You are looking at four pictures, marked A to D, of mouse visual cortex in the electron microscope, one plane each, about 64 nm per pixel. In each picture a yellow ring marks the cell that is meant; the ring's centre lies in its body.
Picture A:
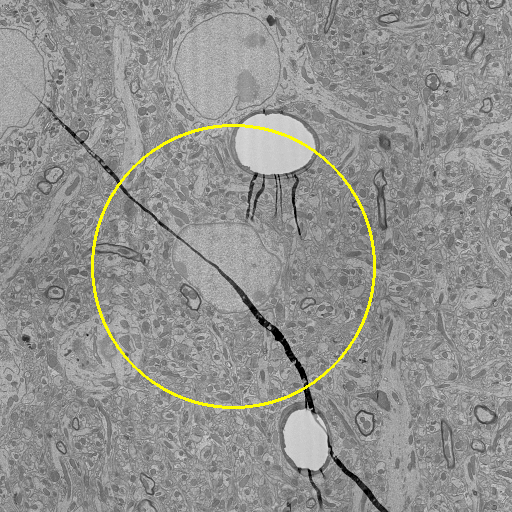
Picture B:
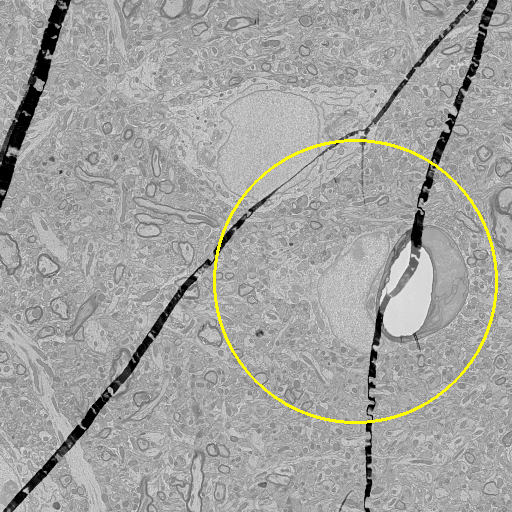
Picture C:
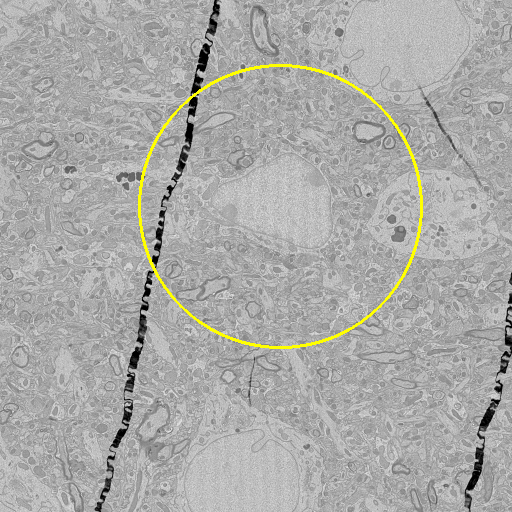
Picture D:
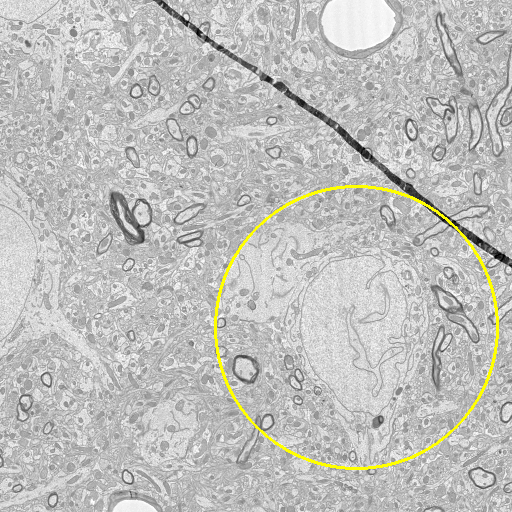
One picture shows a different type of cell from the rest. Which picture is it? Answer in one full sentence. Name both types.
All pictures except D show astrocytes; picture D shows an inhibitory neuron.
